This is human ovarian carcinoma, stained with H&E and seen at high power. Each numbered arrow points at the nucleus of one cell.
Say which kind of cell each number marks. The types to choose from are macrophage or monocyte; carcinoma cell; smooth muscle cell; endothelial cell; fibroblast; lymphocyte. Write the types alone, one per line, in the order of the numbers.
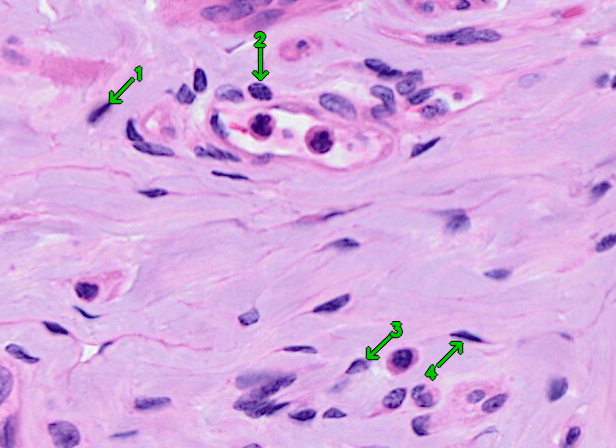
fibroblast
lymphocyte
fibroblast
fibroblast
